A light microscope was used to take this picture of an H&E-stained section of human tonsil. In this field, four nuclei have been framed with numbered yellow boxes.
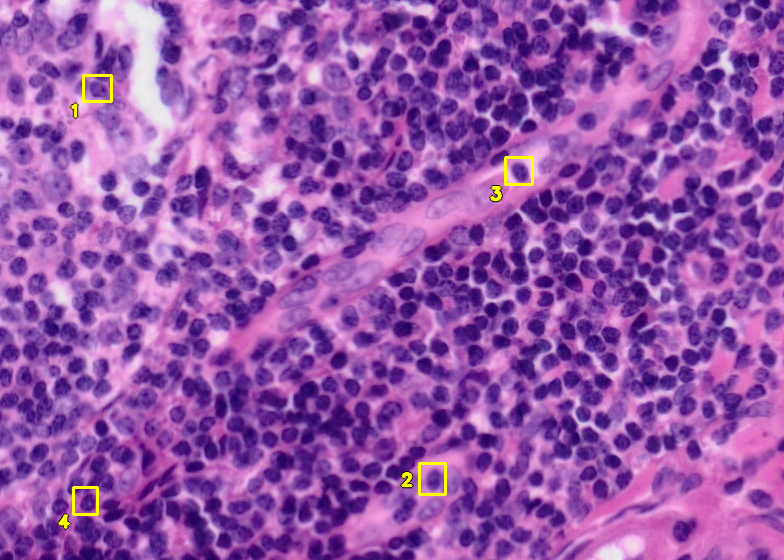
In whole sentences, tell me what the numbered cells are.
Cell 1 is a proliferating B cell, cell 2 is an endothelial cell, cell 3 is an endothelial cell and cell 4 is a small lymphocyte.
